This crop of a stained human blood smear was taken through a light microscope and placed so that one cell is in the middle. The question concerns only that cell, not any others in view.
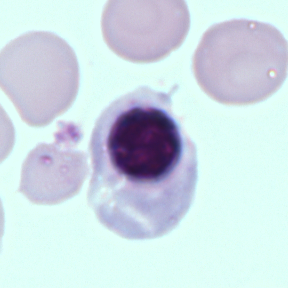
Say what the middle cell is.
normoblast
